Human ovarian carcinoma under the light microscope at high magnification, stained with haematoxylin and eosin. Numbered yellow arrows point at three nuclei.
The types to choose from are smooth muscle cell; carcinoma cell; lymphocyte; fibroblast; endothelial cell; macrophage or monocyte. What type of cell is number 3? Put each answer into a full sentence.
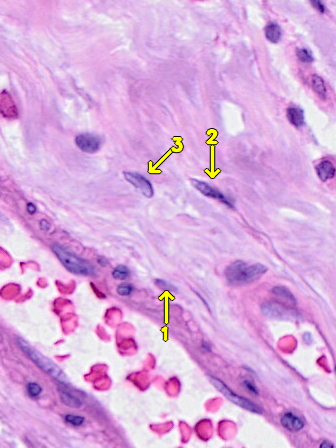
The cell tagged with 3 in this tissue section is a fibroblast.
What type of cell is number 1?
Of the numbered cells, the one labelled 1 is a fibroblast.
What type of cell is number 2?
The cell identified by the number 2 is a macrophage or monocyte.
